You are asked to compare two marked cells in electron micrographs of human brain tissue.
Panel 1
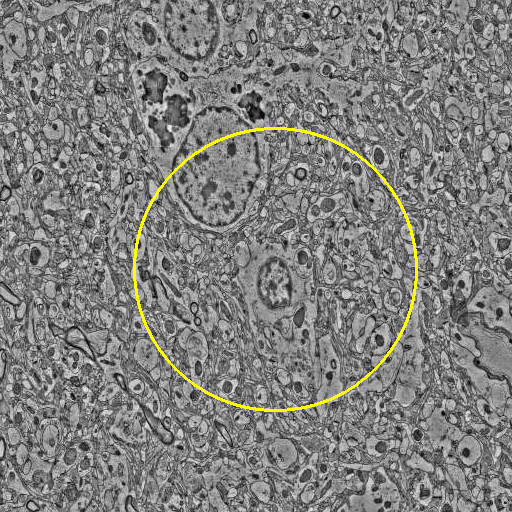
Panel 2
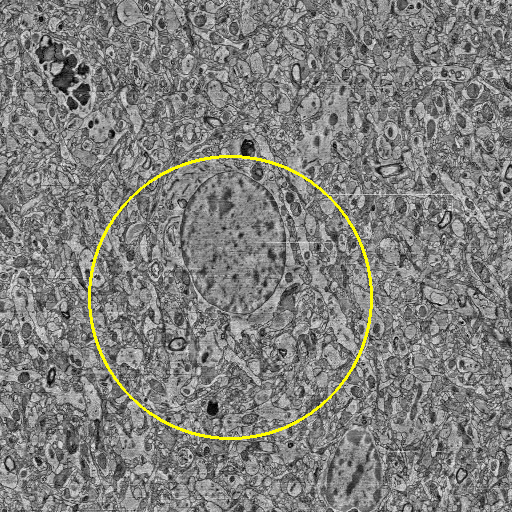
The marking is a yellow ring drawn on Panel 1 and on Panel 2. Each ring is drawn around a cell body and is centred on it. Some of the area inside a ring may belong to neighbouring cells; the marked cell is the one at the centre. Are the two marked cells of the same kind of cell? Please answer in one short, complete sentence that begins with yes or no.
Yes, the two marked cells are of the same kind.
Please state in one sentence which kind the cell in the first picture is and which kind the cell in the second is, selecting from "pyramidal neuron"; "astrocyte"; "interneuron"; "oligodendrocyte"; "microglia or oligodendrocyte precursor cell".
In both pictures the ring is centred on an astrocyte.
